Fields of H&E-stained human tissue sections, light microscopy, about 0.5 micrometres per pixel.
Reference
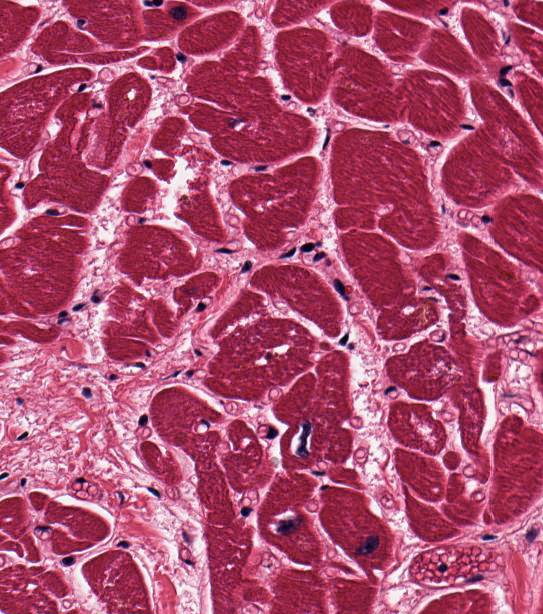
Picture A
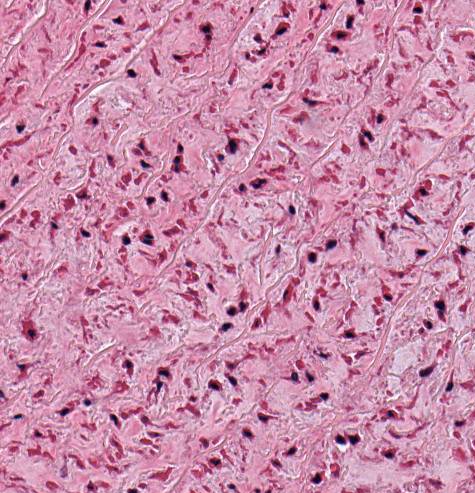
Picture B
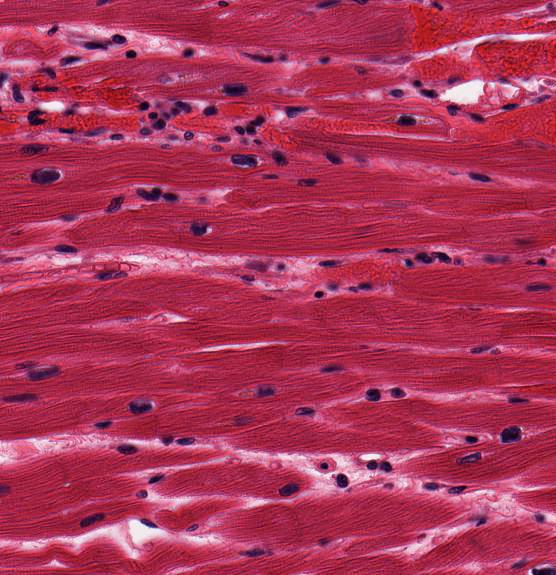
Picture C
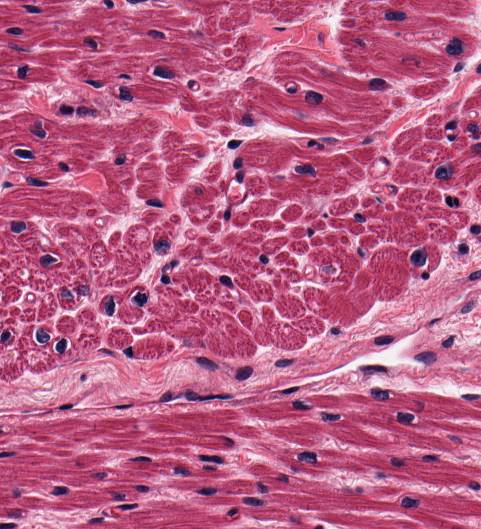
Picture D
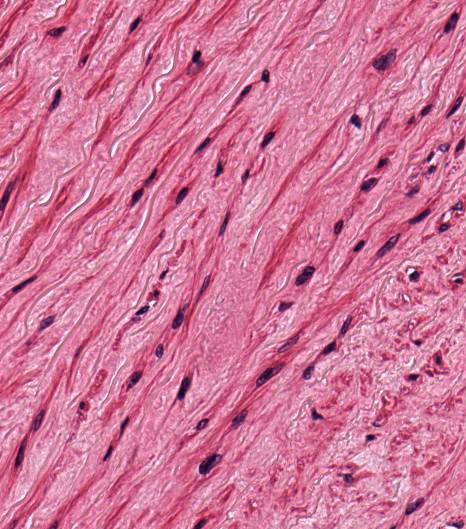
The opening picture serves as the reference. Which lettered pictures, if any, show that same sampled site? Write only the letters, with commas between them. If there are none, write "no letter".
B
